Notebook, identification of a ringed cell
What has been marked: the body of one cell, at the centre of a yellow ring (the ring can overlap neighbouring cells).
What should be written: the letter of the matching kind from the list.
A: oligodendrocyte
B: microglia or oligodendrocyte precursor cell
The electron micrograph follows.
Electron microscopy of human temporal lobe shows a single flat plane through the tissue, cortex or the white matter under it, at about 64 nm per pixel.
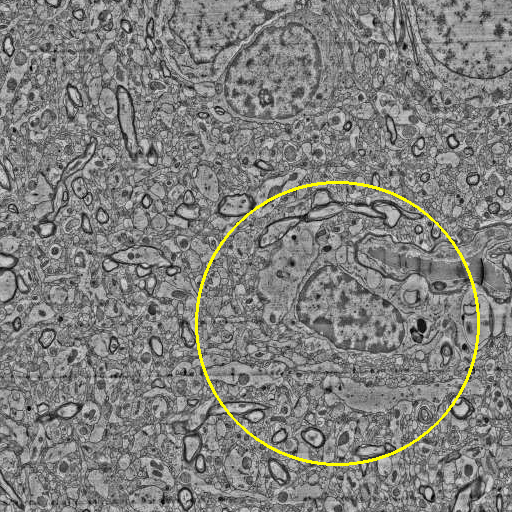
B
